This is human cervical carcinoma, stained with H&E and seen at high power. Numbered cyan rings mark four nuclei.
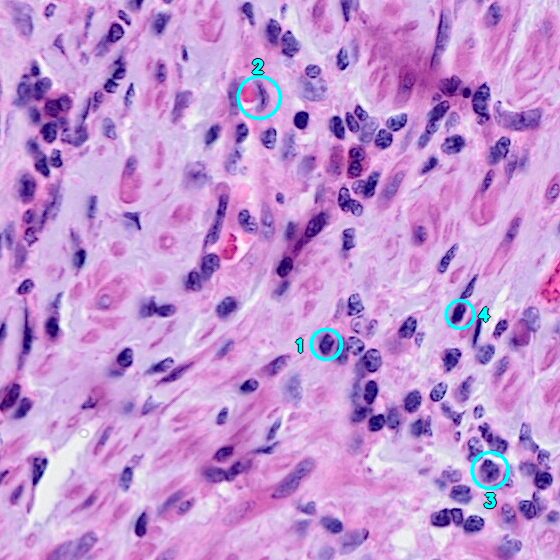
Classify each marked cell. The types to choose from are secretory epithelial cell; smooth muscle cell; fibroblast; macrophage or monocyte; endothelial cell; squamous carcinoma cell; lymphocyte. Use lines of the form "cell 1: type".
cell 1: lymphocyte
cell 2: endothelial cell
cell 3: lymphocyte
cell 4: lymphocyte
